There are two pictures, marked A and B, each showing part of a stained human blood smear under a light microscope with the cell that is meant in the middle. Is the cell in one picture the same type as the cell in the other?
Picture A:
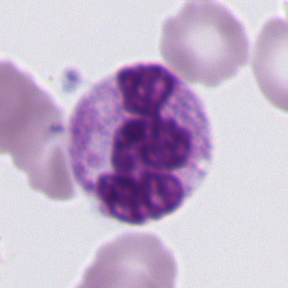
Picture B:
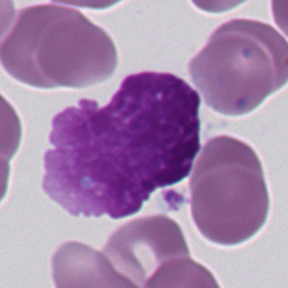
no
